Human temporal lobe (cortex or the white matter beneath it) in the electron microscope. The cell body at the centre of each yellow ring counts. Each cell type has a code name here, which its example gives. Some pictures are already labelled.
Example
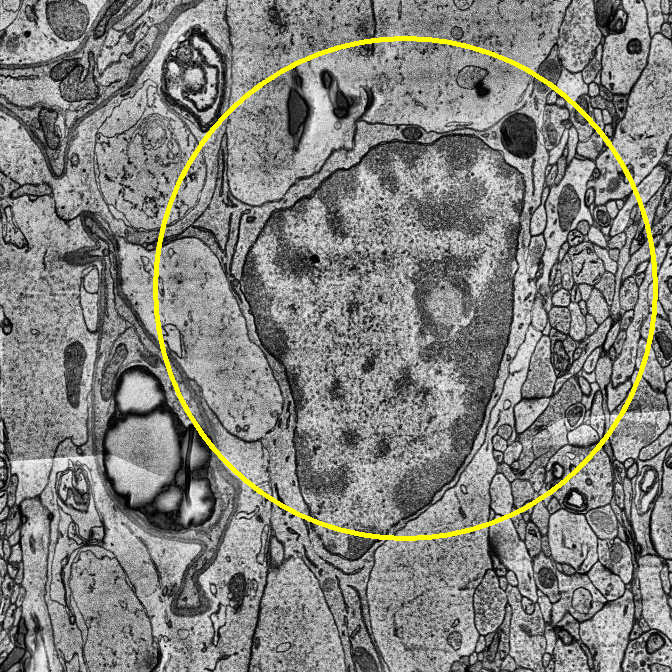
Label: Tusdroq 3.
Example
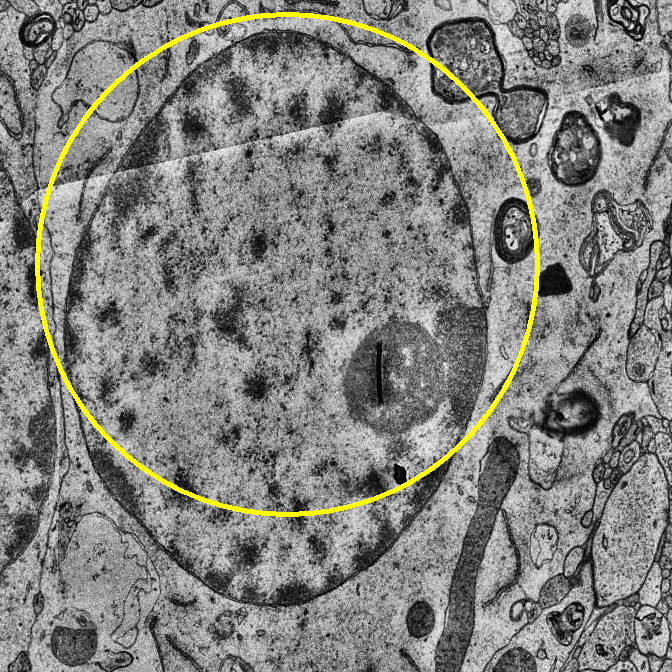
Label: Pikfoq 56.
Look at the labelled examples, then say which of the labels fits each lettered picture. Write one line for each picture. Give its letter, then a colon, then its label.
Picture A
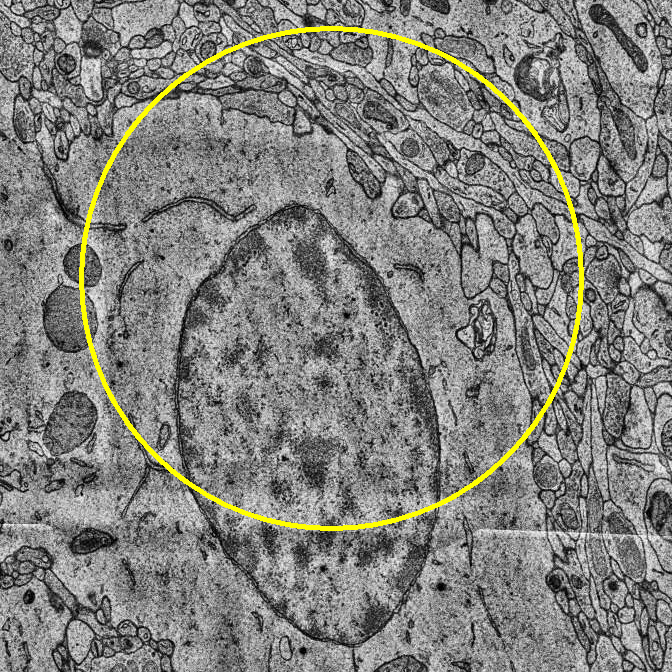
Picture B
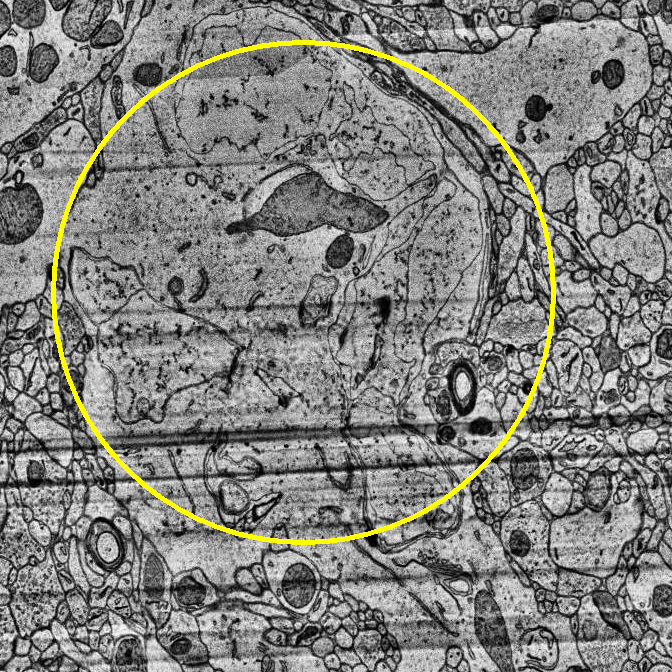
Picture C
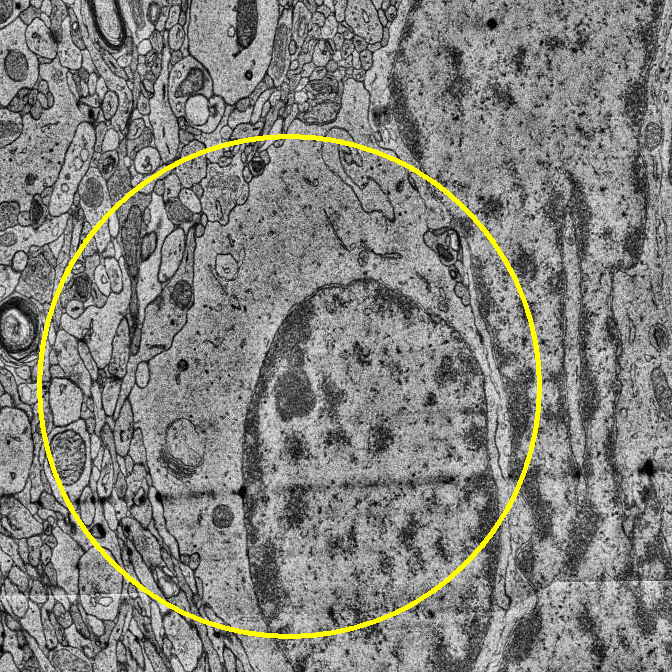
A: Pikfoq 56.
B: Pikfoq 56.
C: Pikfoq 56.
